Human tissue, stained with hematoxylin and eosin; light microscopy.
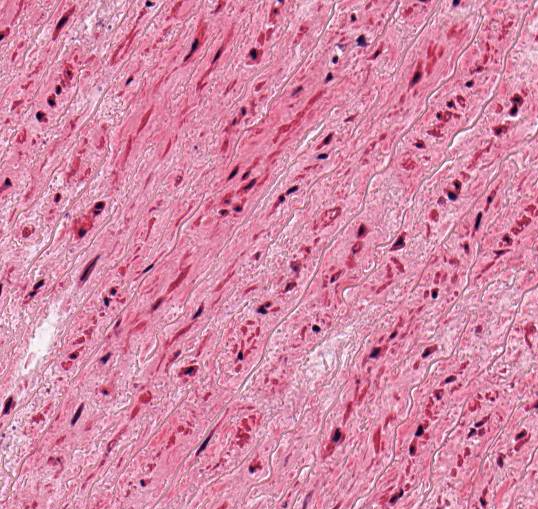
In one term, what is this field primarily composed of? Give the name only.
tunica media of an artery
